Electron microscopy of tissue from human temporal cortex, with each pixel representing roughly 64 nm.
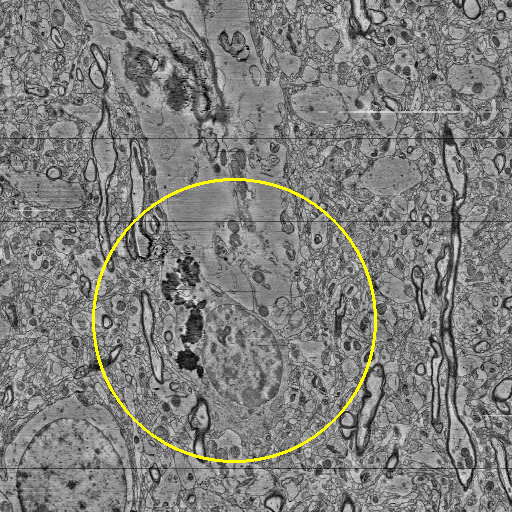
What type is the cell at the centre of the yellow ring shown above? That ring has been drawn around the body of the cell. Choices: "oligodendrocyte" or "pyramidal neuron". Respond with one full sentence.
My answer is that an oligodendrocyte lies at the centre of the yellow ring above.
